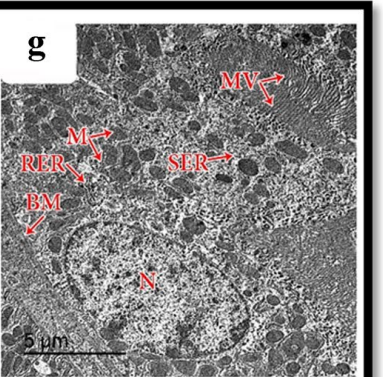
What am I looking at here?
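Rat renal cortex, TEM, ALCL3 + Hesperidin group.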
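Kidney tubule lining cells show a large round pale nucleus, cytoplasm packed with many dark mitochondria and endoplasmic reticulum, a thin basement membrane at the lower left and a band of closely packed microvilli along the apical border at the upper right. These are proximal convoluted tubule cells with a euchromatic central nucleus and nearly normal apical microvilli.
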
